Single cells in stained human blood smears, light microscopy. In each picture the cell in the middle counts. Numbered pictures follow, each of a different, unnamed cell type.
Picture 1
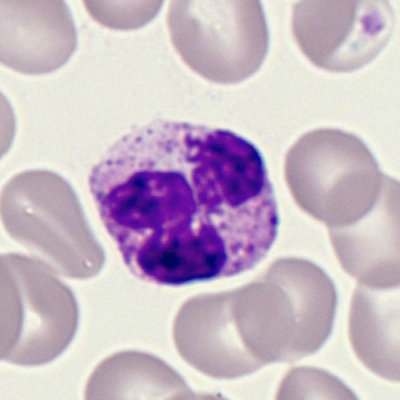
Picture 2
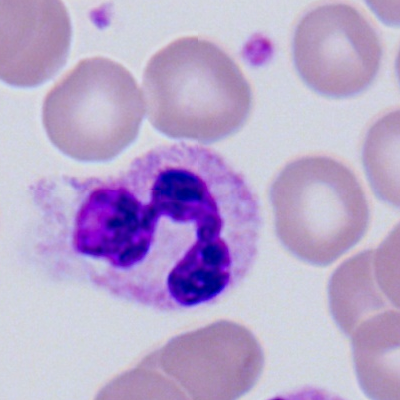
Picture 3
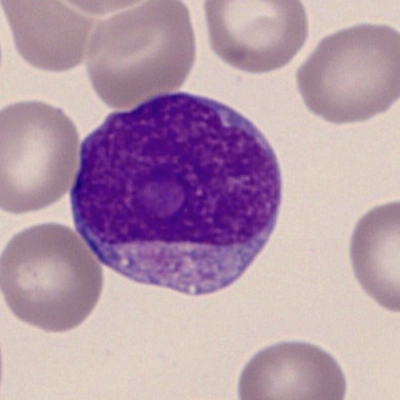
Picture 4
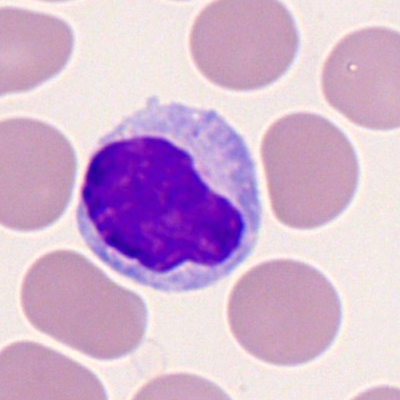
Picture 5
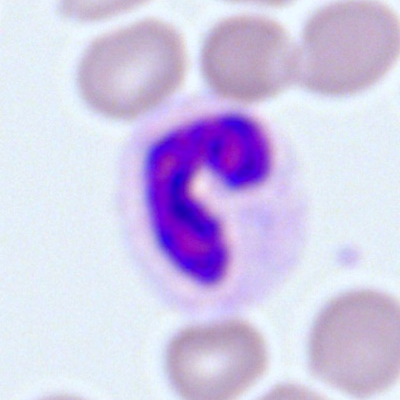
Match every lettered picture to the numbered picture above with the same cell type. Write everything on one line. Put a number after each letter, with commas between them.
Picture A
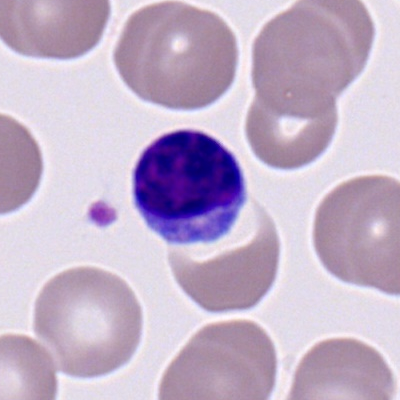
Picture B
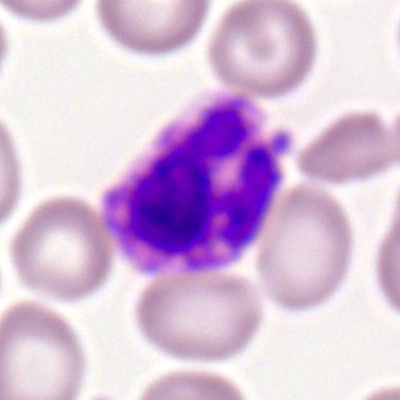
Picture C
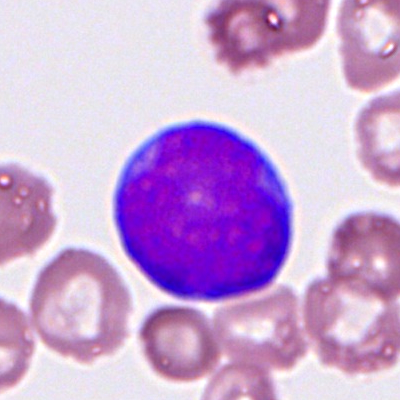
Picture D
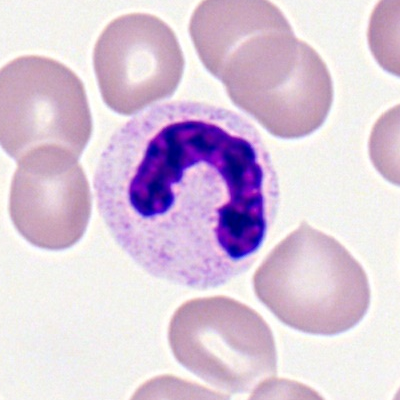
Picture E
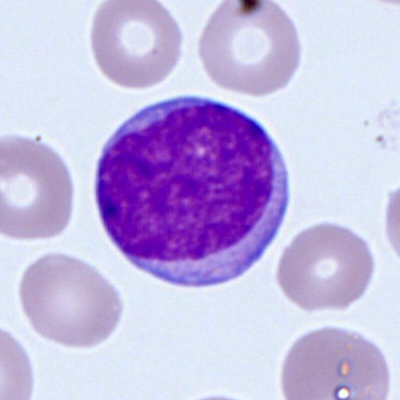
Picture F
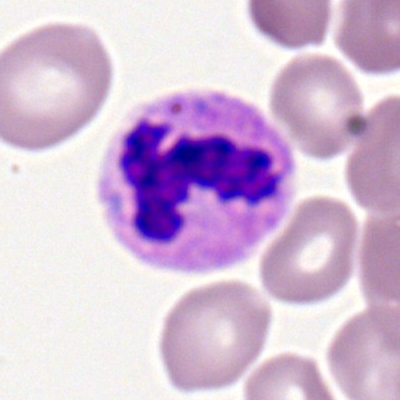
A 4, B 1, C 3, D 5, E 3, F 2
